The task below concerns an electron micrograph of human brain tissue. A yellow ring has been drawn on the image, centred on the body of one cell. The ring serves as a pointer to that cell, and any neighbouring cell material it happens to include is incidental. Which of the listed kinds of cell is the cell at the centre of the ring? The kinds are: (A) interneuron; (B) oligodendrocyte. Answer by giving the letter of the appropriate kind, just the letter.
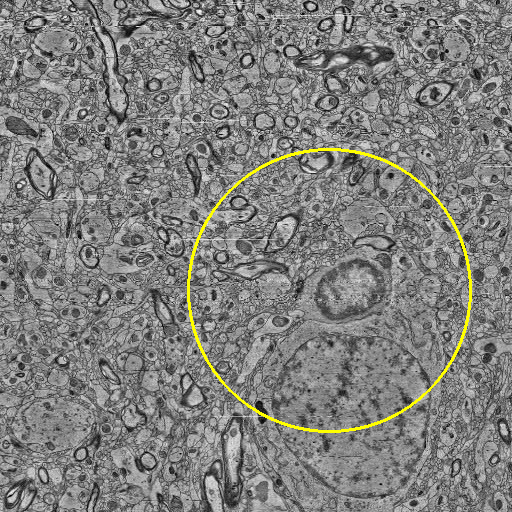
B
